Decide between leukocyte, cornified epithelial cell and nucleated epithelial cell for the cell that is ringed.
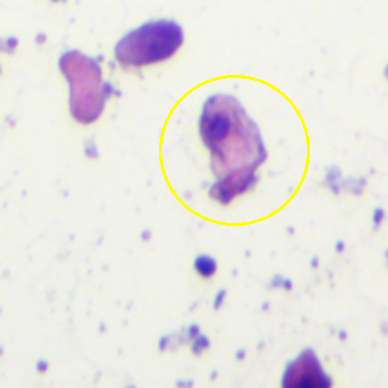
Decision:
I take the ringed cell for a nucleated epithelial cell.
